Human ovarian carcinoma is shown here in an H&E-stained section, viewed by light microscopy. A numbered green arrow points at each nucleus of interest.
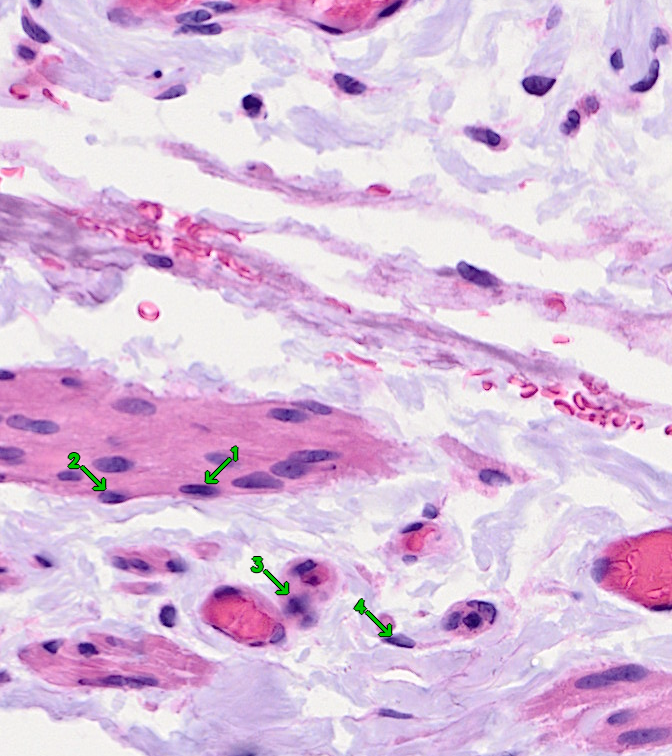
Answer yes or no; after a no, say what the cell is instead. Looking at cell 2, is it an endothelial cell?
No, it is a smooth muscle cell.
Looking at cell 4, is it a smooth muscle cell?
No, it is a fibroblast.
